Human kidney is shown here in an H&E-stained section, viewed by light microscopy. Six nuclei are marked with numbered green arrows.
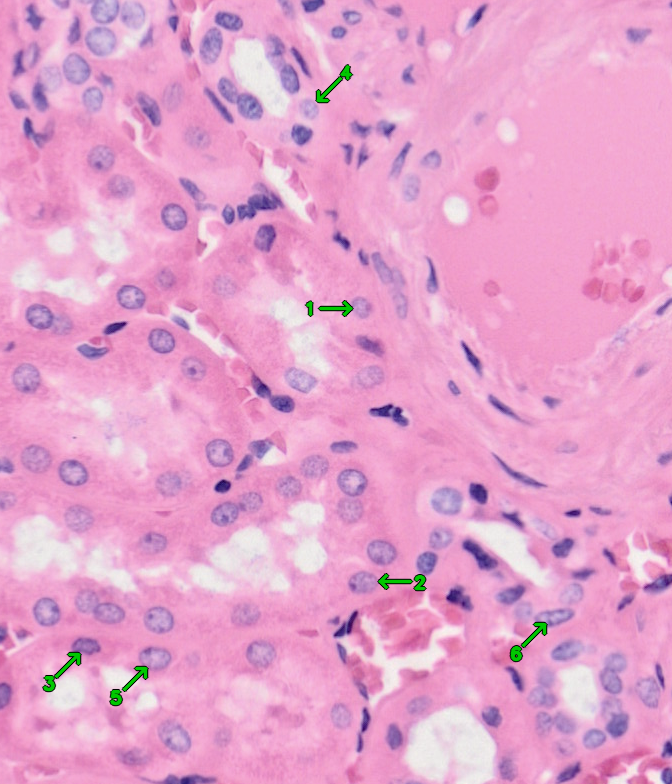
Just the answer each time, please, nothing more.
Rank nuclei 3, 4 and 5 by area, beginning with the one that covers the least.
4, 3, 5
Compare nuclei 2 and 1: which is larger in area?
2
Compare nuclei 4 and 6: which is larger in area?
6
